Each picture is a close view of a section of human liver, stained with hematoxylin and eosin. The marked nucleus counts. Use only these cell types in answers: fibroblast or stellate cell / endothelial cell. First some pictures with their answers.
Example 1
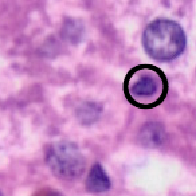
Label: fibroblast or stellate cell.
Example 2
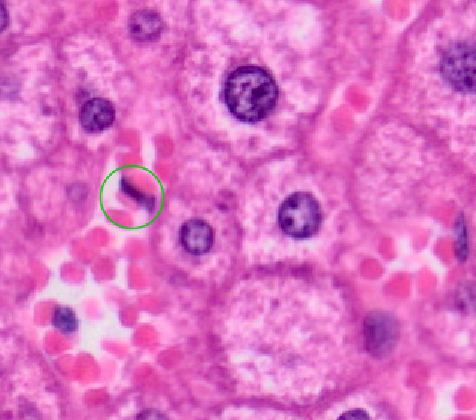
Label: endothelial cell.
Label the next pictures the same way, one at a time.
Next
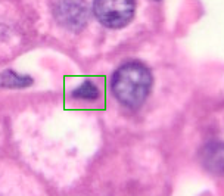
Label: fibroblast or stellate cell.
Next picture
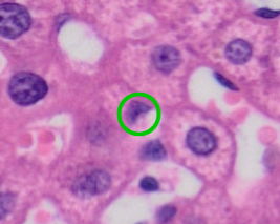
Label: endothelial cell.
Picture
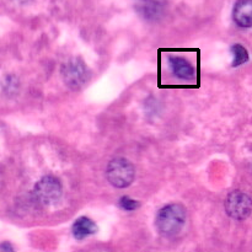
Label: fibroblast or stellate cell.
